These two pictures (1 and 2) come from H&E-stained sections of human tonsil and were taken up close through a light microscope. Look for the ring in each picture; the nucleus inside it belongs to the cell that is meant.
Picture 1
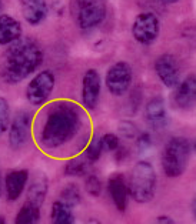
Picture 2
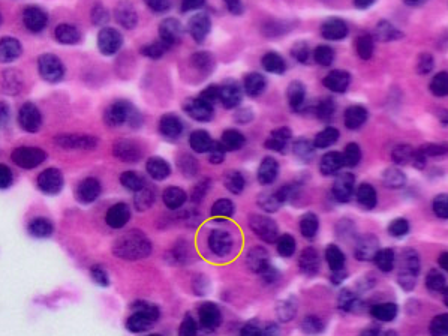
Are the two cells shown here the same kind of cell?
no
